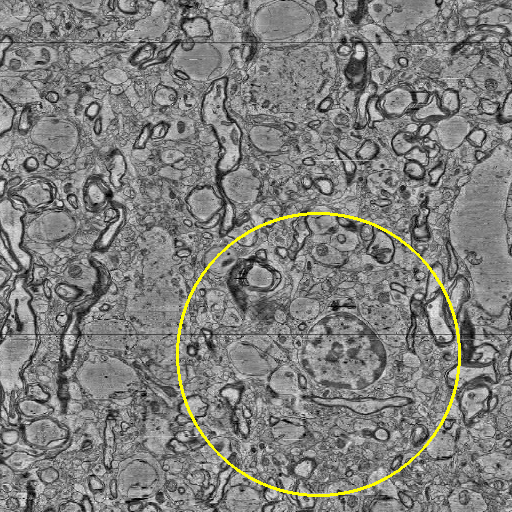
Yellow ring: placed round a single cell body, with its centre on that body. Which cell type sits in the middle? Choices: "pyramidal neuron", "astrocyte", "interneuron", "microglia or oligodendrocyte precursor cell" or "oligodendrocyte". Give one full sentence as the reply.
It is a microglial cell or oligodendrocyte precursor cell whose cell body sits at the centre of the yellow ring.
